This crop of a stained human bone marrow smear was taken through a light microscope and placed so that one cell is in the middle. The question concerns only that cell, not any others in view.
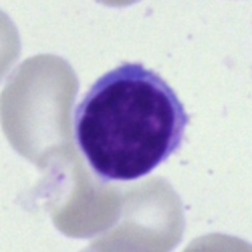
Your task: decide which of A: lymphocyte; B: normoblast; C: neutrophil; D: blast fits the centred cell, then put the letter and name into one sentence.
Here the right option is A, as the cell in the middle is a lymphocyte.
